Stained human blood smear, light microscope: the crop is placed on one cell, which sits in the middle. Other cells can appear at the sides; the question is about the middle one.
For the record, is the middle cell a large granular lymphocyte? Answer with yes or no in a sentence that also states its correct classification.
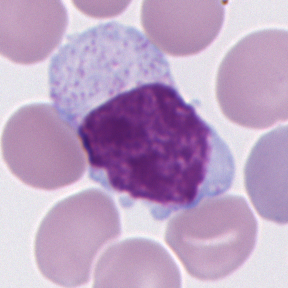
Yes, that is a large granular lymphocyte in the middle of the crop.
